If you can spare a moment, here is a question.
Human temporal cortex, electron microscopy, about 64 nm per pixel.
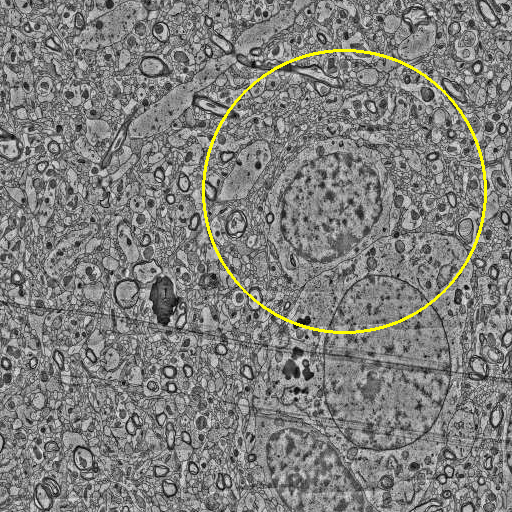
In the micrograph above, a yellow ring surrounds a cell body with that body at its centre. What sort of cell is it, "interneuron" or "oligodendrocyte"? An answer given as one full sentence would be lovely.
Centred inside the yellow ring, the cell body shown belongs to an interneuron in this micrograph.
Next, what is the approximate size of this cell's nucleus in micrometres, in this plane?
In this plane, approximately 7 by 6 micrometers.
